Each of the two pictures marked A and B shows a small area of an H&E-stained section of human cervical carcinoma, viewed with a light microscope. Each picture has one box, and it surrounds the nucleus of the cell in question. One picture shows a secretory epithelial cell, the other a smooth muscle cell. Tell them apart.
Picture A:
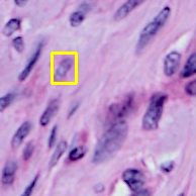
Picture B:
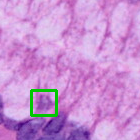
A: smooth muscle cell
B: secretory epithelial cell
